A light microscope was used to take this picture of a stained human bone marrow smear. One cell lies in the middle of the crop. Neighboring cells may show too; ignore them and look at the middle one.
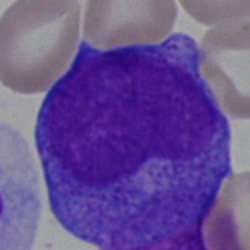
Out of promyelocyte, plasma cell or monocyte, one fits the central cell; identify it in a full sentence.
The middle of this crop is occupied by a promyelocyte.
